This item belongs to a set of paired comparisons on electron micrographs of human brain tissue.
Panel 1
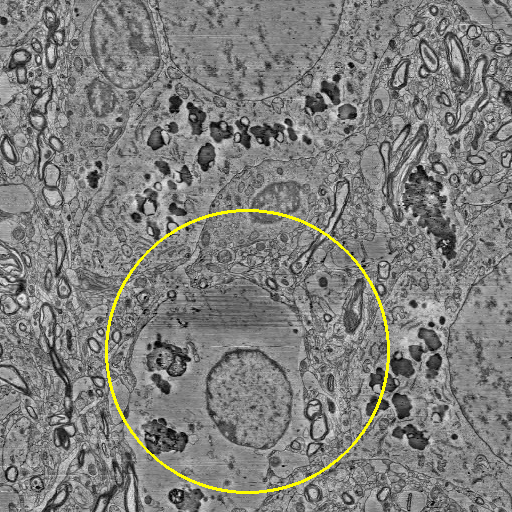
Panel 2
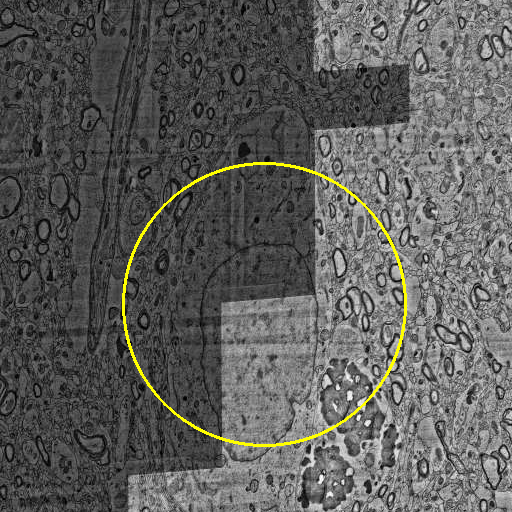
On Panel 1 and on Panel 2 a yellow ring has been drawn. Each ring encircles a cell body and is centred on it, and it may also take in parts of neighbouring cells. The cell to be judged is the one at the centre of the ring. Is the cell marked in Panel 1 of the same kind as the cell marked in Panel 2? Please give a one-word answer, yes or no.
no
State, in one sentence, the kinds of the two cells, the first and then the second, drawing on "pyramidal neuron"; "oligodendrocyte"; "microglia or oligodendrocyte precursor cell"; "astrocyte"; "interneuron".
The ring in the second picture is centred on a pyramidal neuron, the ring in the first on an astrocyte.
